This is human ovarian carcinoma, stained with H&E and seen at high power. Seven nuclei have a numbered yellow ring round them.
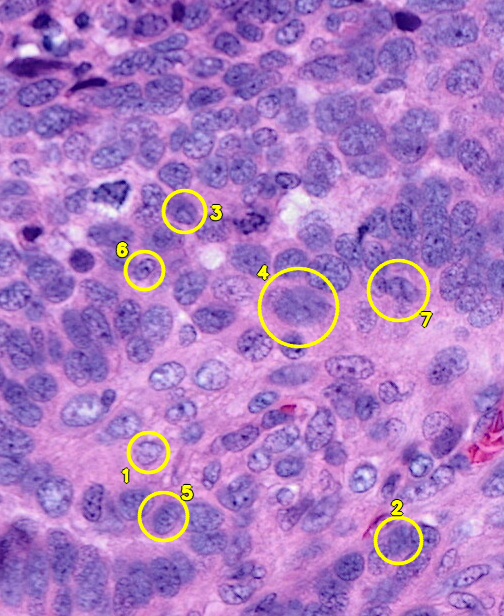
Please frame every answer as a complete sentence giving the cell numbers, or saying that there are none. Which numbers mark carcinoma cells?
The cells marked with the numbers 2, 3, 4 and 5 are carcinoma cells.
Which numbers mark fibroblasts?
The cell labelled 1 is a fibroblast, while the remaining numbered cells are not.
